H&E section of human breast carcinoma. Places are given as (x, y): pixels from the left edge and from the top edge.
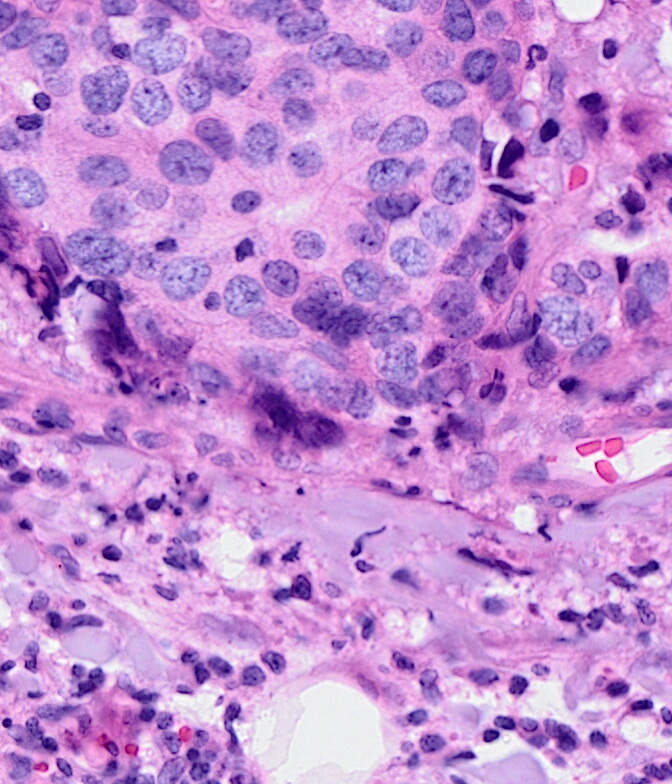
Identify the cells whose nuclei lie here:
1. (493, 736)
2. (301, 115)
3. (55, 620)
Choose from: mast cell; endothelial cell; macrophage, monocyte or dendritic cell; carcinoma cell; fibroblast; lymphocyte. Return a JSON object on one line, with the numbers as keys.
{"1": "lymphocyte", "2": "carcinoma cell", "3": "lymphocyte"}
